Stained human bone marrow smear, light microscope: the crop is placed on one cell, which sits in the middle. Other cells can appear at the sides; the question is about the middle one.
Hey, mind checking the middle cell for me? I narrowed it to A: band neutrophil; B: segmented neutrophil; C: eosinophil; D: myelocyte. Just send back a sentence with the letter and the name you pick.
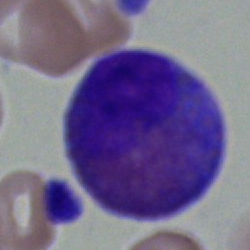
Option C is to be chosen, as the central cell is an eosinophil.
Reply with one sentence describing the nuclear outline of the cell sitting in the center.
A single compact nucleus is present, shaped round, oval or like a kidney.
